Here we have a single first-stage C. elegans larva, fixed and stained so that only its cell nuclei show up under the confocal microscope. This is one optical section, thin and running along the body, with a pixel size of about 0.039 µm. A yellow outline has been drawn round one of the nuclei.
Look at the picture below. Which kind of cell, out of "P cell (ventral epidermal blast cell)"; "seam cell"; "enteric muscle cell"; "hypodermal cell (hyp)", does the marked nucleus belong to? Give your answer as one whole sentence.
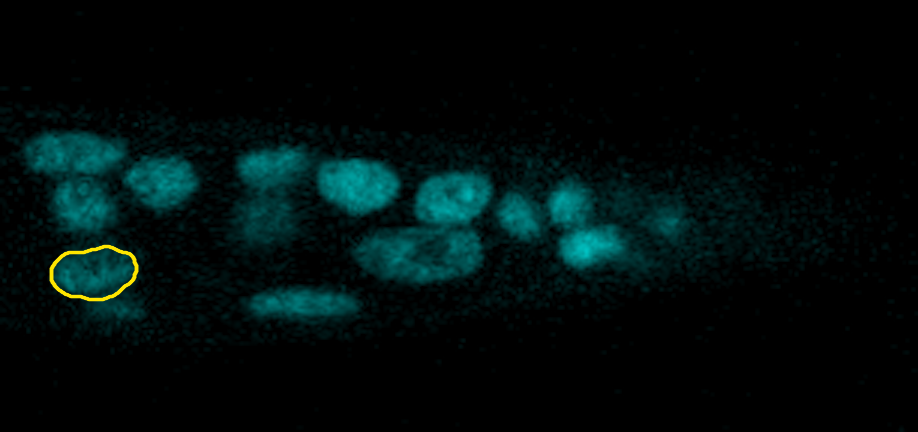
The marked nucleus belongs to a hypodermal cell (hyp).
